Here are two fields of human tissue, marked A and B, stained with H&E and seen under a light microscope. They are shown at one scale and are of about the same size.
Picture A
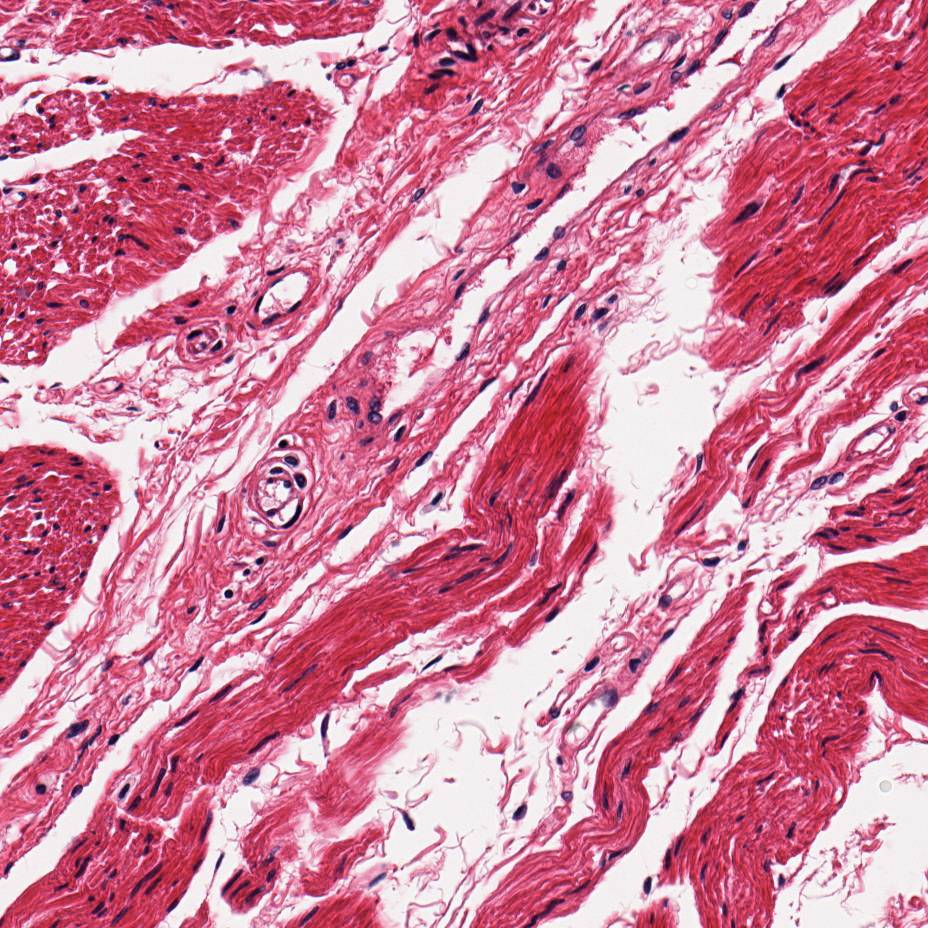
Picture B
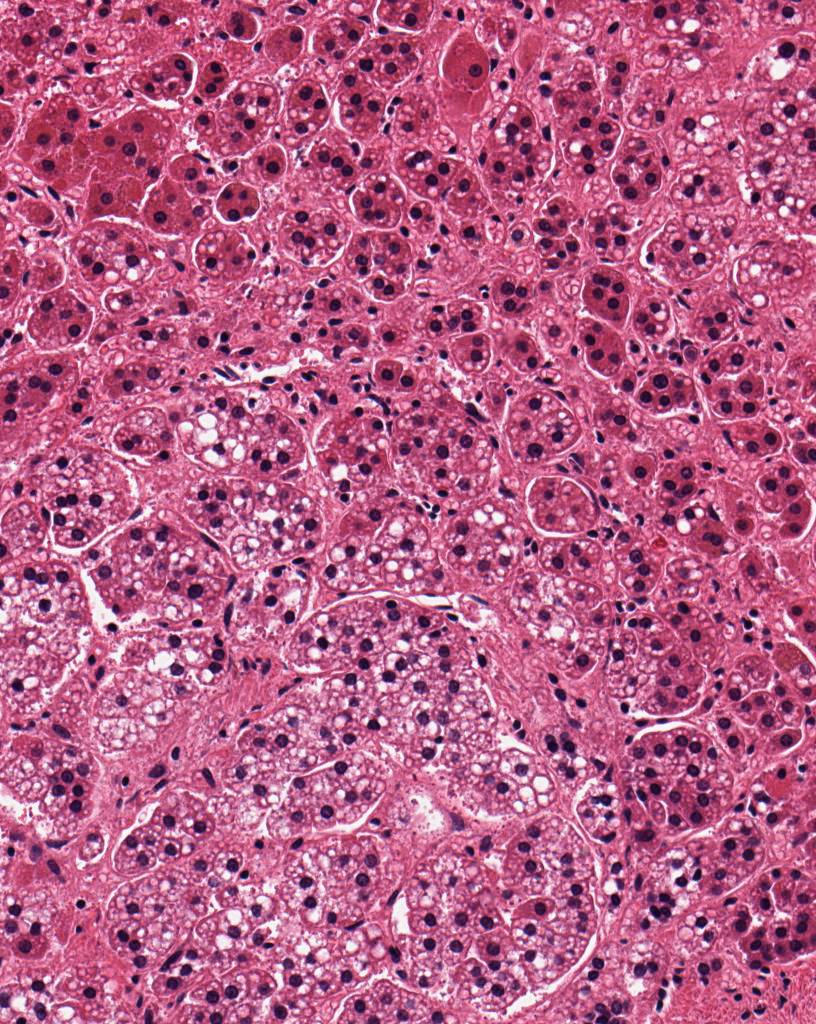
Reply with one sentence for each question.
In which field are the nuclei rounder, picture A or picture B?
Rounder nuclei lie in picture B.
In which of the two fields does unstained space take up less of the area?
Unstained space takes up less of picture B than of picture A.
